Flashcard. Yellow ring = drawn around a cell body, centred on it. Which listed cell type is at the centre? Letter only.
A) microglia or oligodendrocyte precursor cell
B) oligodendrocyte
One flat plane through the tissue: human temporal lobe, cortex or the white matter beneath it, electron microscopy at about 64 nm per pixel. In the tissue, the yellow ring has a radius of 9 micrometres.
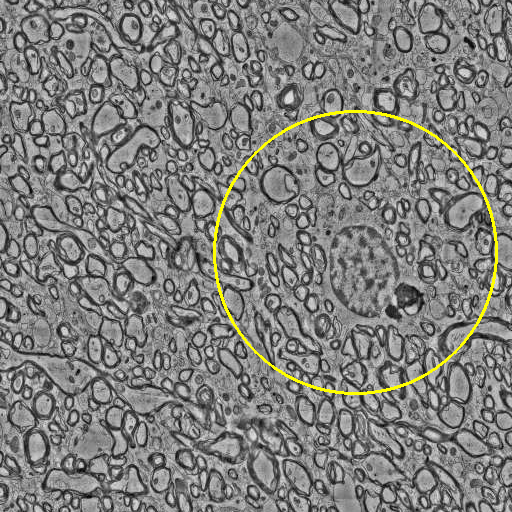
B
